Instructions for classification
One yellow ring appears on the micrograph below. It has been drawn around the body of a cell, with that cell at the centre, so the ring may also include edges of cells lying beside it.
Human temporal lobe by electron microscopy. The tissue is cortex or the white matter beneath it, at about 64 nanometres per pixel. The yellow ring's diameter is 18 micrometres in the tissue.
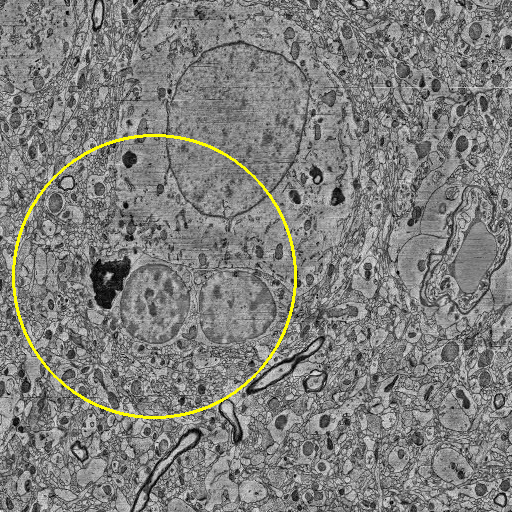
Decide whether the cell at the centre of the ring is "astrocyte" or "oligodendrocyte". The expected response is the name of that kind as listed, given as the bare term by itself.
oligodendrocyte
